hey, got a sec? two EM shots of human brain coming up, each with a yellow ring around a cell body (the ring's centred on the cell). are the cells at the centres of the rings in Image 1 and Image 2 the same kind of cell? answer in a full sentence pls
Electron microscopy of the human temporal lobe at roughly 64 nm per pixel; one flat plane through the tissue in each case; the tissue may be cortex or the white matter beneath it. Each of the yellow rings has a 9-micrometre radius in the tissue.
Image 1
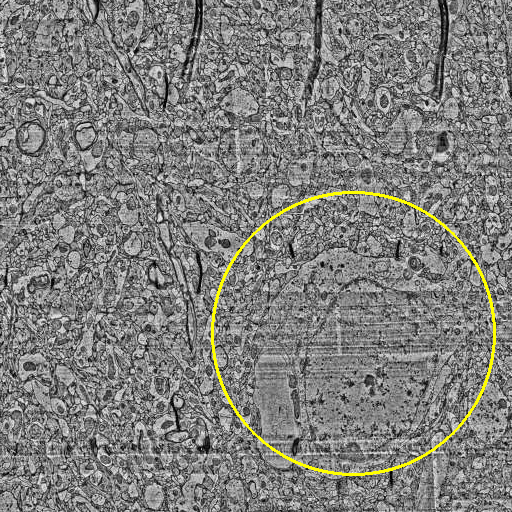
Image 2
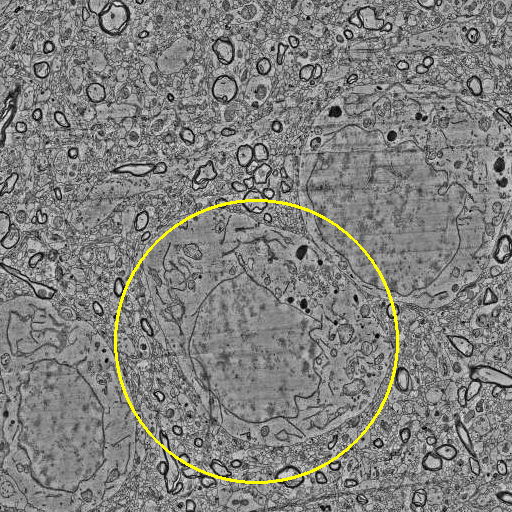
No, they are two kinds of cell.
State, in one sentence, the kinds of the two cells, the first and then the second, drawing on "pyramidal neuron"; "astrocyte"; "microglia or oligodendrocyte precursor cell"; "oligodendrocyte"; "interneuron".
The ring in the second picture is centred on a pyramidal neuron, the ring in the first on an interneuron.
